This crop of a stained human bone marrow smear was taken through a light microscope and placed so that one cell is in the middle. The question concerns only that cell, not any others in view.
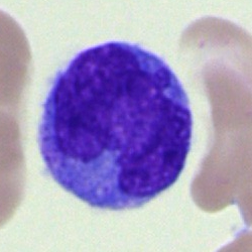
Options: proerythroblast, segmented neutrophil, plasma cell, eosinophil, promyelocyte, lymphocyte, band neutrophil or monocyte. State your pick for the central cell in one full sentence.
Here the centrally located cell is a monocyte.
